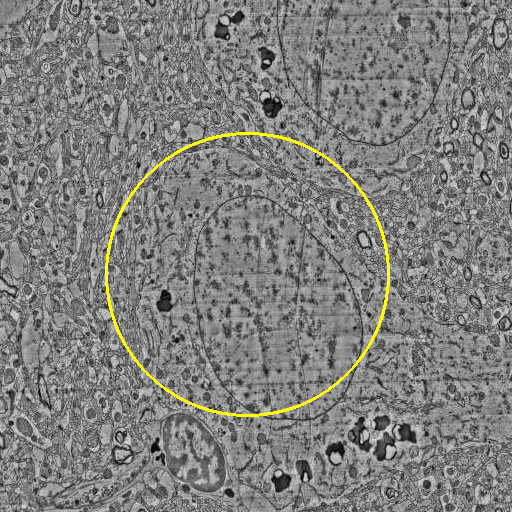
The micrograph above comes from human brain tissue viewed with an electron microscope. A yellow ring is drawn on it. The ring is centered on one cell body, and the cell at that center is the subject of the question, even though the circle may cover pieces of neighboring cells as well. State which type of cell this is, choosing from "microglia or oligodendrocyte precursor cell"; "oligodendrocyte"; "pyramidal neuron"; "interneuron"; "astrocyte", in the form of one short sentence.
The cell the ring is centered on is a pyramidal neuron.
